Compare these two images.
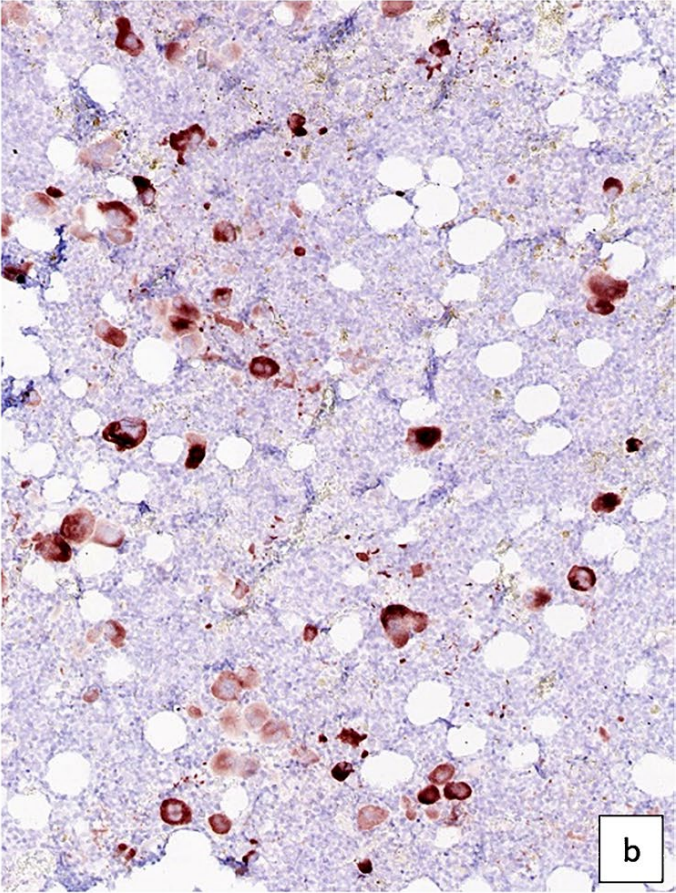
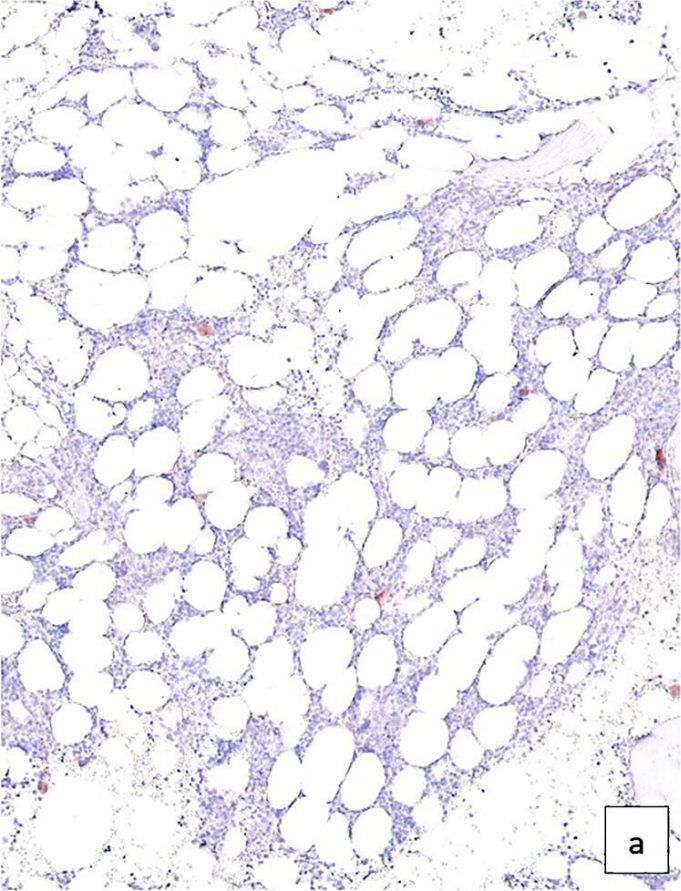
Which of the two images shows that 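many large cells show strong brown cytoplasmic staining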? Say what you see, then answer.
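First image: numerous large cells with dark brown cytoplasm are scattered across the field. Second image: almost no brown staining, only a few faint pinkish spots among blue-counterstained cells.
The first image.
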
